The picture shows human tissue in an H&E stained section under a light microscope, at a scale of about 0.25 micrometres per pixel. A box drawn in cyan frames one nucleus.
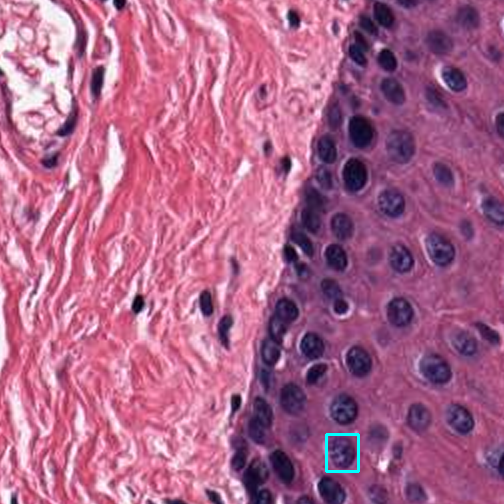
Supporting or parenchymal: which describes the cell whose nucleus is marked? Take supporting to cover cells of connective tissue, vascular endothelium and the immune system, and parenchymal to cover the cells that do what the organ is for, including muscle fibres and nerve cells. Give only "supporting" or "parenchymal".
parenchymal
